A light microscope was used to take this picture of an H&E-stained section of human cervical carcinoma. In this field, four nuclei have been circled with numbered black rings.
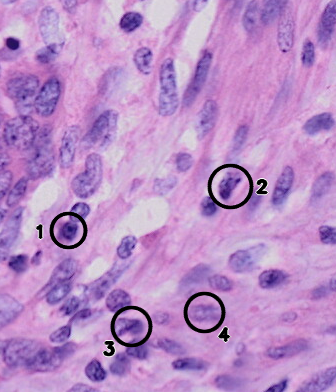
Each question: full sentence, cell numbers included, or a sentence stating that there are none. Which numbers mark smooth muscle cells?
A single numbered cell, cell 4, is a smooth muscle cell.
